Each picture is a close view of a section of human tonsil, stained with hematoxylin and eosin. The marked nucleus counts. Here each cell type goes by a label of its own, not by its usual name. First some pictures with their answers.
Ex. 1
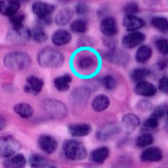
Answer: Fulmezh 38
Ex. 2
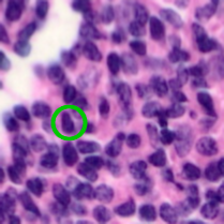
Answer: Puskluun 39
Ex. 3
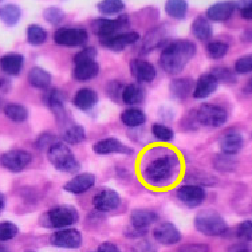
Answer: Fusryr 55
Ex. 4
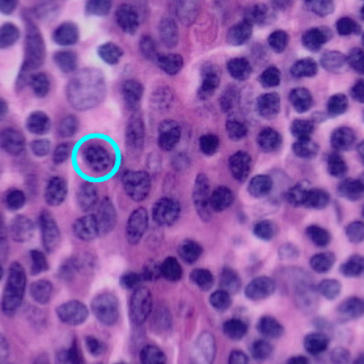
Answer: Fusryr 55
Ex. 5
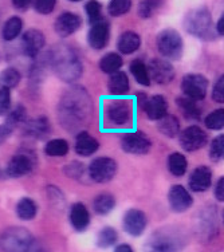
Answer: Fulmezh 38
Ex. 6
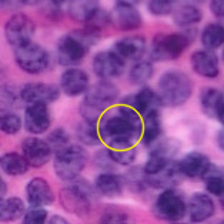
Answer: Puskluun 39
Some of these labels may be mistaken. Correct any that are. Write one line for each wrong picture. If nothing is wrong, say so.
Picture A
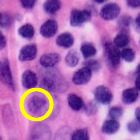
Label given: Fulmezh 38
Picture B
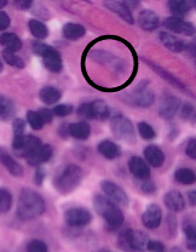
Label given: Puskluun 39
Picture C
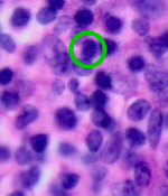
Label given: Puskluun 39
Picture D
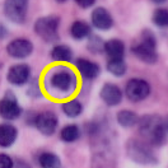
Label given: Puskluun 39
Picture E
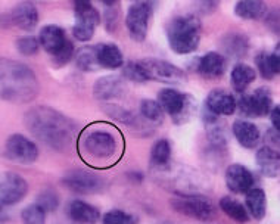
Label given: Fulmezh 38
B is labelled Puskluun 39; correct label: Fulmezh 38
